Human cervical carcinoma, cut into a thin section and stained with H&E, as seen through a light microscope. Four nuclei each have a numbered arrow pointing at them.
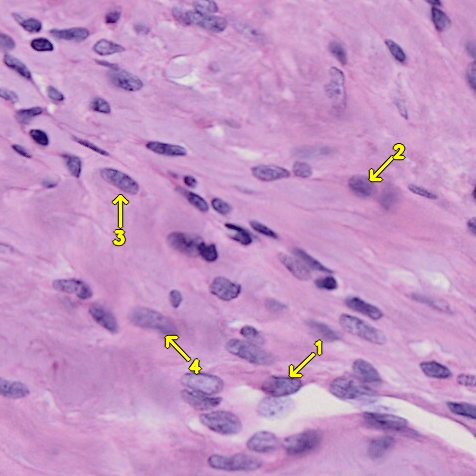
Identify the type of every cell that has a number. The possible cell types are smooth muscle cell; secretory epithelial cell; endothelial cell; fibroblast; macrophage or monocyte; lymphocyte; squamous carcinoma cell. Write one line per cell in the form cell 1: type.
cell 1: endothelial cell
cell 2: fibroblast
cell 3: fibroblast
cell 4: fibroblast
